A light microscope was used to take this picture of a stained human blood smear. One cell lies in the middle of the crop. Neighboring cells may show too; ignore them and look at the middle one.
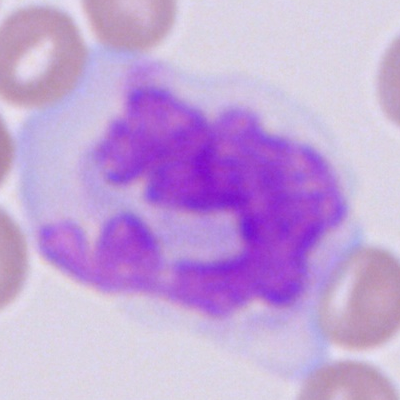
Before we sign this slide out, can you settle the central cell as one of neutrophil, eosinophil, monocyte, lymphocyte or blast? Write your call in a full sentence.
The cell of interest, located centrally, is a monocyte.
